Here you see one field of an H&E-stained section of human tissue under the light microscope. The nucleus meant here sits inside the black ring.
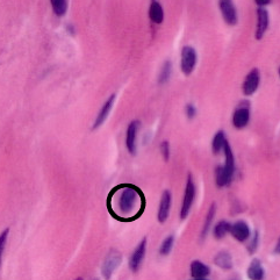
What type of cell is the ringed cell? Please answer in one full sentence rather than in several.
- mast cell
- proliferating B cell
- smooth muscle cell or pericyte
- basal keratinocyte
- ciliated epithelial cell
Microscopically, the ringed cell is categorized as a mast cell.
